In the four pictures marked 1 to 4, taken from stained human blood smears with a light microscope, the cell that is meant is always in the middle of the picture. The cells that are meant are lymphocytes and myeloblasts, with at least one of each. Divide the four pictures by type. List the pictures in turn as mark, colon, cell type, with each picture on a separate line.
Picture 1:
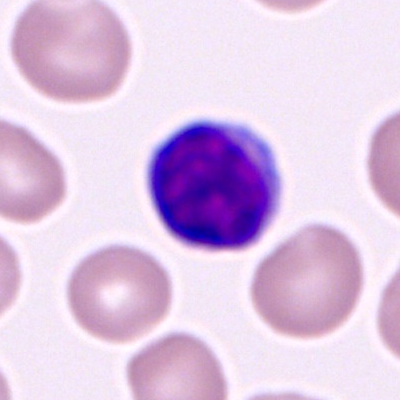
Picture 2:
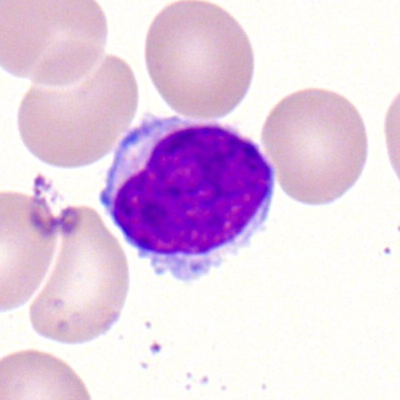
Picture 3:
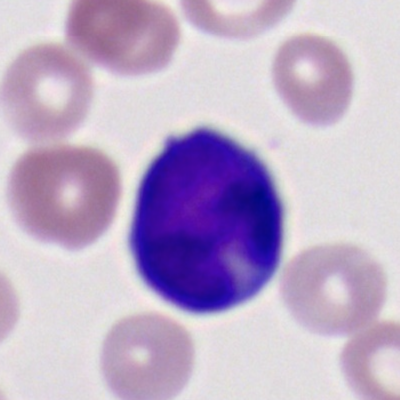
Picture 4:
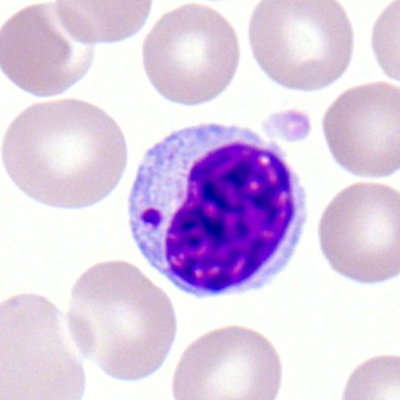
1: lymphocyte
2: lymphocyte
3: myeloblast
4: lymphocyte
